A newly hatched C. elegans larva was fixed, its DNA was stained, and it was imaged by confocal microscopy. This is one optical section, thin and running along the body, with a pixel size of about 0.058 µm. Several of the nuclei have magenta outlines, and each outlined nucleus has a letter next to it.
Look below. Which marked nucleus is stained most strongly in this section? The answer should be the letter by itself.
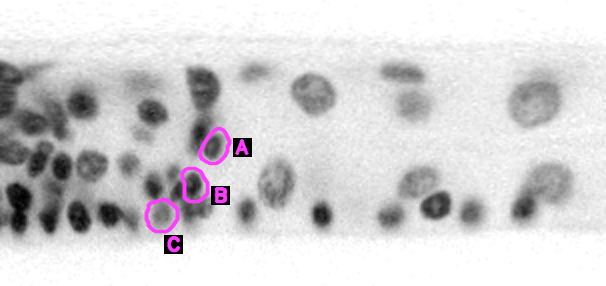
B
